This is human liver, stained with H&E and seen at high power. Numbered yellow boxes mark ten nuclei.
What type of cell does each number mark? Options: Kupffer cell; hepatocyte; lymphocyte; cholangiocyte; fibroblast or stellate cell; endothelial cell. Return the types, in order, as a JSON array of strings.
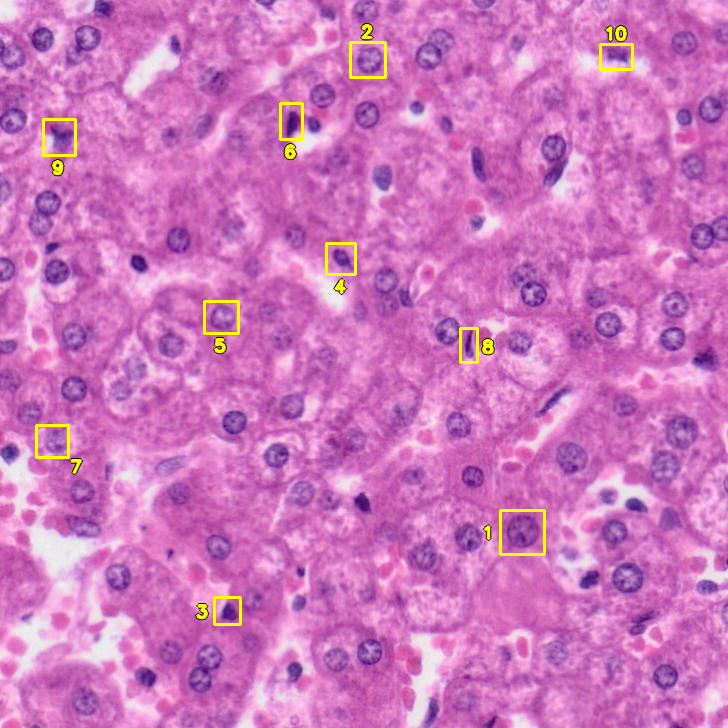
["hepatocyte", "hepatocyte", "fibroblast or stellate cell", "fibroblast or stellate cell", "hepatocyte", "fibroblast or stellate cell", "hepatocyte", "endothelial cell", "endothelial cell", "endothelial cell"]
